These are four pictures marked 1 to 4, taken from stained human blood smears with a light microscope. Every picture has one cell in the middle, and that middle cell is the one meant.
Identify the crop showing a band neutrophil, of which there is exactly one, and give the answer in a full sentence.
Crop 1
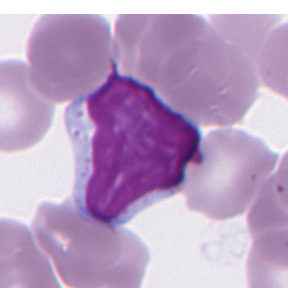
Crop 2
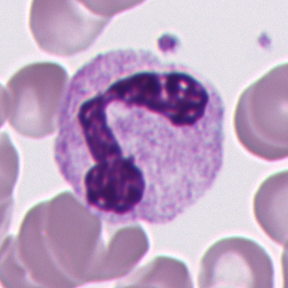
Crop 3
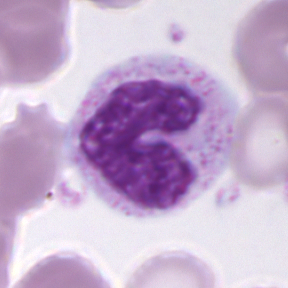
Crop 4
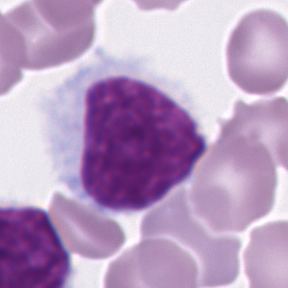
The one showing a band neutrophil is crop 3.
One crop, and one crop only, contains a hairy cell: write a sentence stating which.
Crop 4 is the correct crop, and it shows a hairy cell.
